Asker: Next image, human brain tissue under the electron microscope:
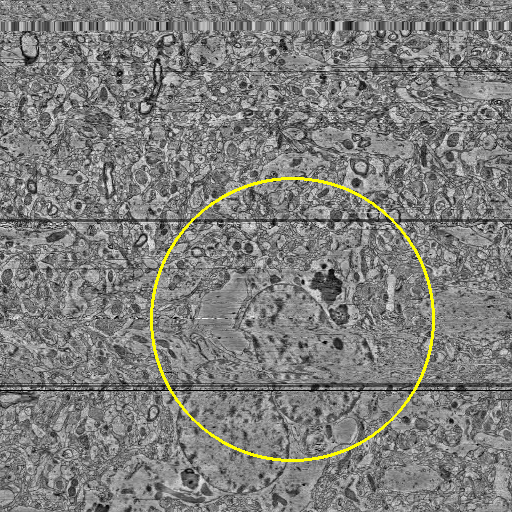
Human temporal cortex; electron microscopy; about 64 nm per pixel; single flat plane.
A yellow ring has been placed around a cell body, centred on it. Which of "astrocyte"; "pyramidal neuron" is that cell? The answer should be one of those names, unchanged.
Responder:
astrocyte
